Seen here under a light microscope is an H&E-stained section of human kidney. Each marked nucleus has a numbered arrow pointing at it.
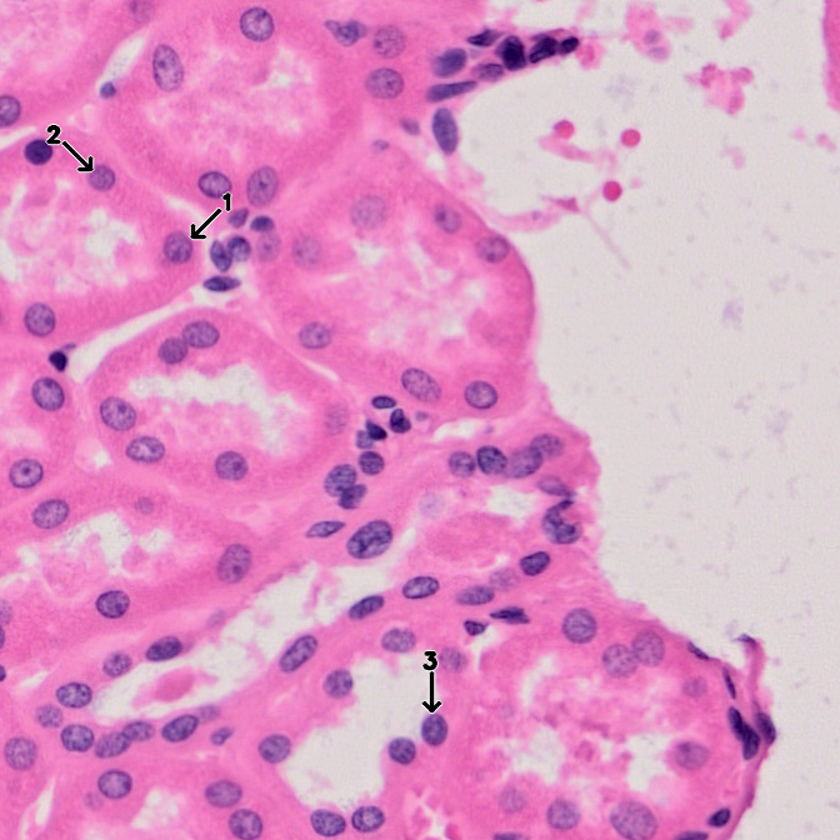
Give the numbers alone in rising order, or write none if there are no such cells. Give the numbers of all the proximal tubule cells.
1, 2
